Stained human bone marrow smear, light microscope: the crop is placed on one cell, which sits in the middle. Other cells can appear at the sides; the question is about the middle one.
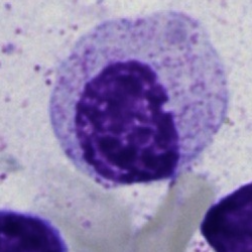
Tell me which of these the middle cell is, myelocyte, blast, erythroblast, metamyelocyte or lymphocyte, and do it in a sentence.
The cell at the middle of the crop is recognized as a myelocyte.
